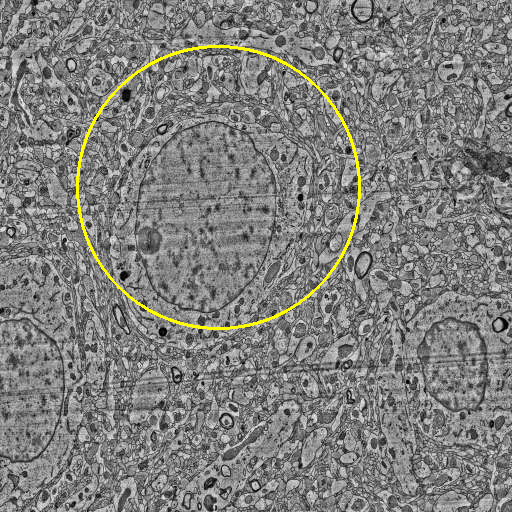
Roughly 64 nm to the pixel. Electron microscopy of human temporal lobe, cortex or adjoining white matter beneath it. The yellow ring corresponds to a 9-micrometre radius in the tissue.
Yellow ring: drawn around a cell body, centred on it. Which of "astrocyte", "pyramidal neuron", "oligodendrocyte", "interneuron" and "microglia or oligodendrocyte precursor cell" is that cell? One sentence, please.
That cell body is from a pyramidal neuron.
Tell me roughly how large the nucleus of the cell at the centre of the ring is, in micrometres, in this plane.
The nucleus appears roughly 12 by 9 micrometres in this plane.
